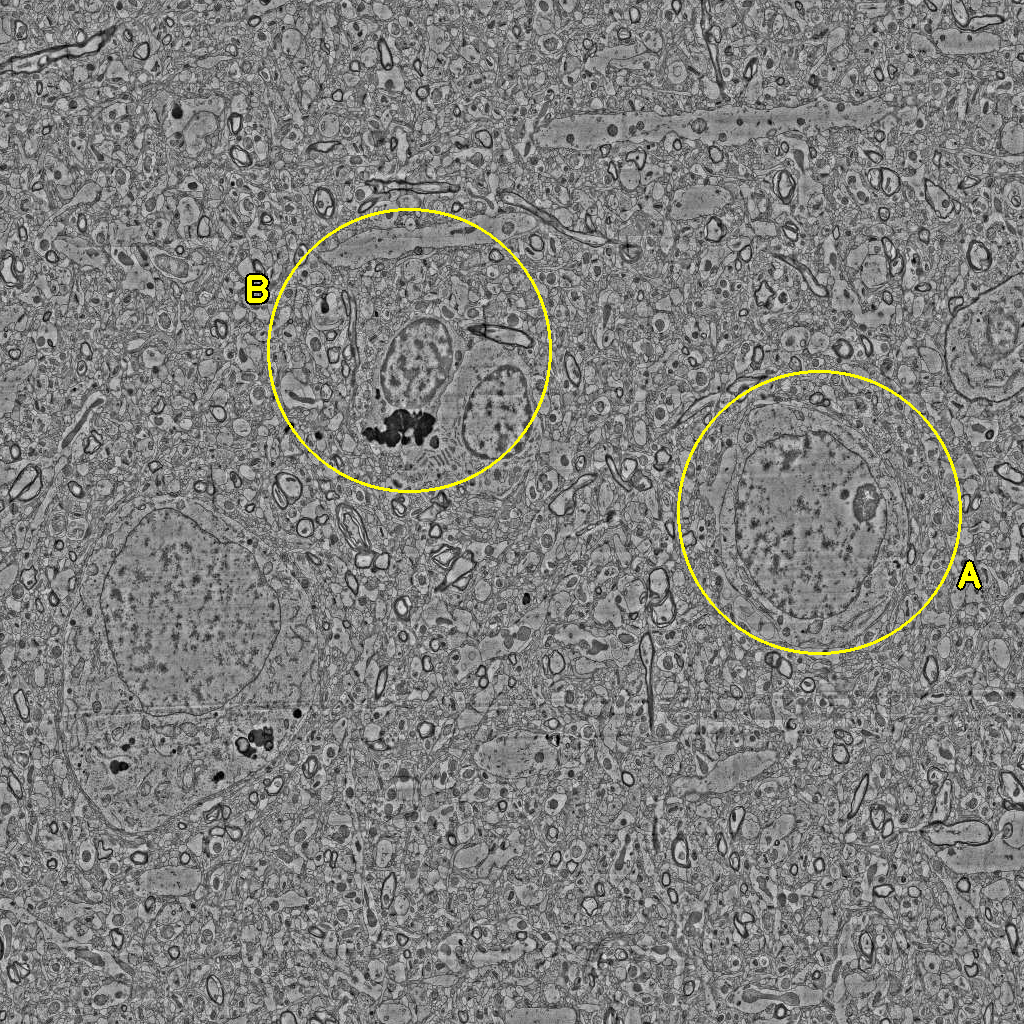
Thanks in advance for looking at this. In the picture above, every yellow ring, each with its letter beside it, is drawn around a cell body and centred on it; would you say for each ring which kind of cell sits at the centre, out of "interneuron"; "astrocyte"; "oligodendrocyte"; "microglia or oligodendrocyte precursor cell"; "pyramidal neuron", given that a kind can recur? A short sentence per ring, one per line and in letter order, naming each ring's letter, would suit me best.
The cell body in ring A belongs to a pyramidal neuron.
The cell body in ring B belongs to an oligodendrocyte.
